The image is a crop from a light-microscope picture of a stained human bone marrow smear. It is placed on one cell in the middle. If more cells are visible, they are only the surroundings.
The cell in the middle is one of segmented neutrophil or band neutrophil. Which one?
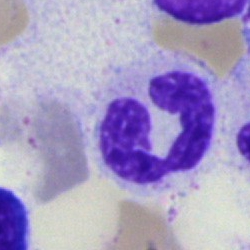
segmented neutrophil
